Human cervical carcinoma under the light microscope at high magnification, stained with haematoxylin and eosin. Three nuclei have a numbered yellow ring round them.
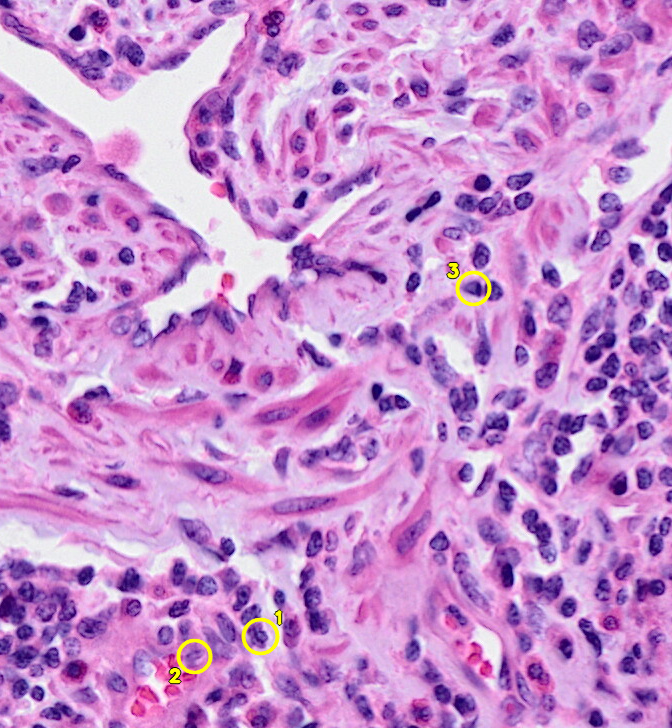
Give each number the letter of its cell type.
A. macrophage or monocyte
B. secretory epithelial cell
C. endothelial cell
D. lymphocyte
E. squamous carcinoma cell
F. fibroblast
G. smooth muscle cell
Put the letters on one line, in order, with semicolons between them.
D; C; D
